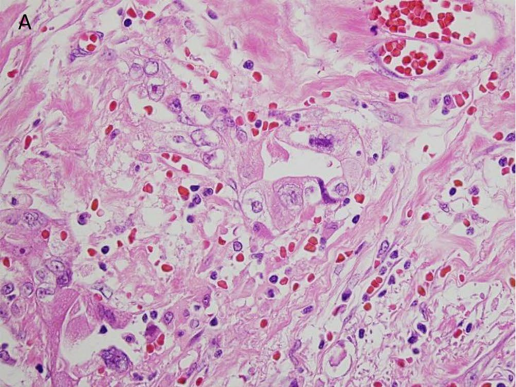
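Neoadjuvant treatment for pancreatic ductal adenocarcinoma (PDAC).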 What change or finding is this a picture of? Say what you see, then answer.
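Large cells with enlarged, irregular, dark nuclei. Their cytoplasm is pale and vacuolated. Small round dark nuclei and red blood cells are scattered around them.
Degenerative cancer cells.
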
